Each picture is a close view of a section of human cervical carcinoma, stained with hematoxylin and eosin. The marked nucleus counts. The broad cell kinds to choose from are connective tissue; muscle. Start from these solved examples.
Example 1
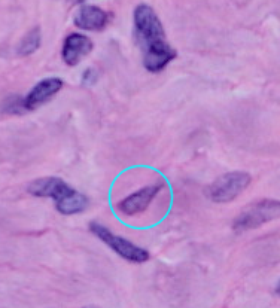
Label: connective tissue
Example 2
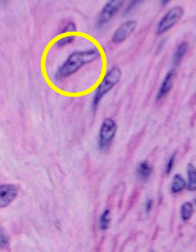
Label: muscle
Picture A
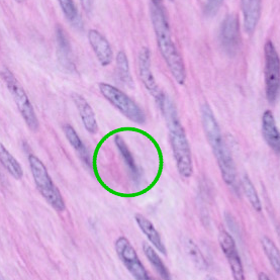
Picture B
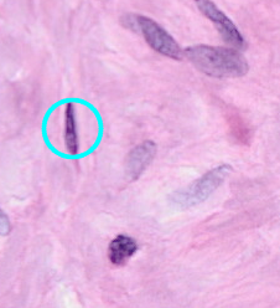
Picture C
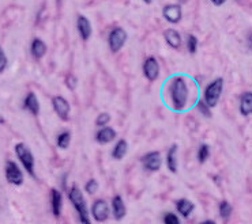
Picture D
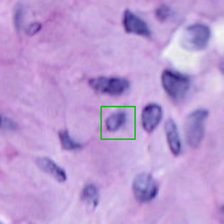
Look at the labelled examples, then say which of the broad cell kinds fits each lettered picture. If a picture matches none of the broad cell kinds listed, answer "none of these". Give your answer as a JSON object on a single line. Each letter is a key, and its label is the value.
{"A": "muscle", "B": "connective tissue", "C": "muscle", "D": "connective tissue"}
